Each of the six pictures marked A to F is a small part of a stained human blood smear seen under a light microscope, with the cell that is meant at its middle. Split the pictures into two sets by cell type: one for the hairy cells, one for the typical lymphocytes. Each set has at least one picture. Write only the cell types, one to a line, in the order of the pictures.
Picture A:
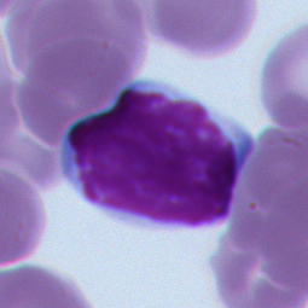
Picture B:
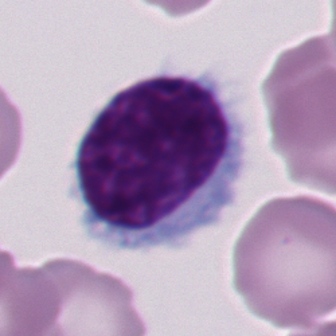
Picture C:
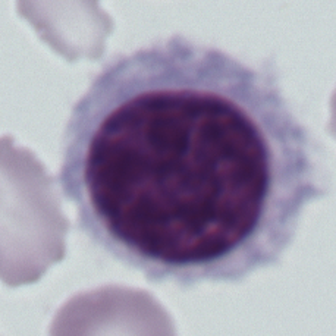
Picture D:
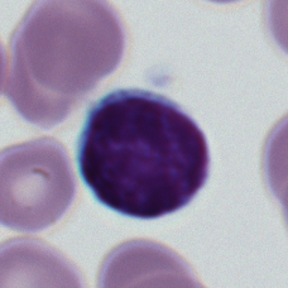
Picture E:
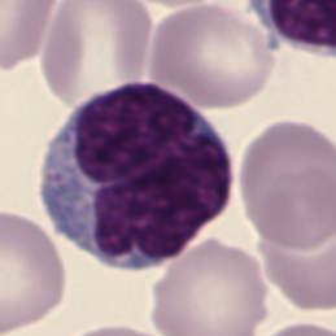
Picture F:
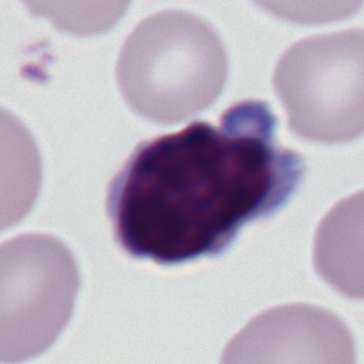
typical lymphocyte
hairy cell
hairy cell
typical lymphocyte
typical lymphocyte
typical lymphocyte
